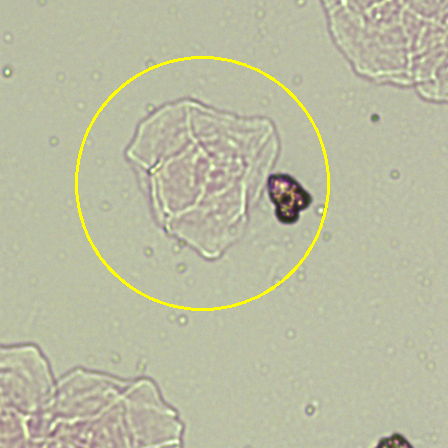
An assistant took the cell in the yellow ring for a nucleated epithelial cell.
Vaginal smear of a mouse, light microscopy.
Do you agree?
I disagree, it is a cornified epithelial cell.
